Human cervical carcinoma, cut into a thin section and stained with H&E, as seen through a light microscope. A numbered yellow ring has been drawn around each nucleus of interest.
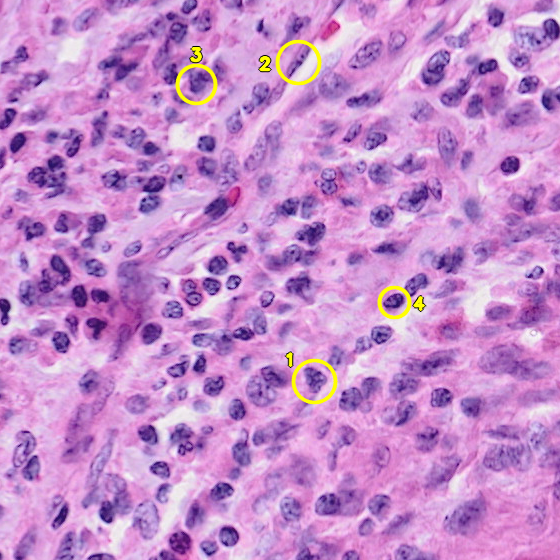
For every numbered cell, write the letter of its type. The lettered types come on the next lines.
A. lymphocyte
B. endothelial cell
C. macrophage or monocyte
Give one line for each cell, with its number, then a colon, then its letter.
1: A
2: B
3: A
4: A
